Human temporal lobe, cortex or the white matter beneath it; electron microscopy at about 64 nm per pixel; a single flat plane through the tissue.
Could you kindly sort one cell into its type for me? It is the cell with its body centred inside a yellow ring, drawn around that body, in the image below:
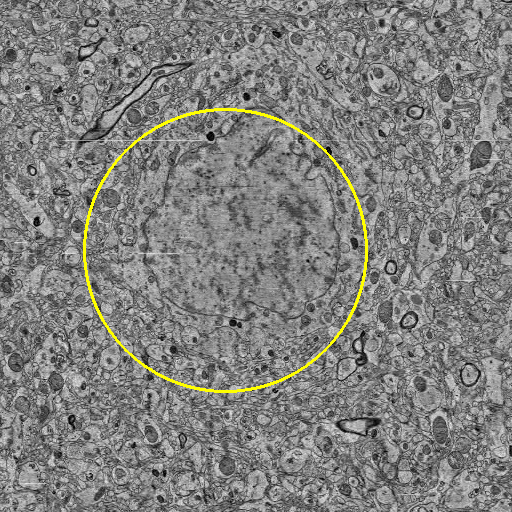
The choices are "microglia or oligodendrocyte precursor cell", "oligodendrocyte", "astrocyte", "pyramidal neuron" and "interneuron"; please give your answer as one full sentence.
The cell whose body lies centred in the yellow ring here is an interneuron.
